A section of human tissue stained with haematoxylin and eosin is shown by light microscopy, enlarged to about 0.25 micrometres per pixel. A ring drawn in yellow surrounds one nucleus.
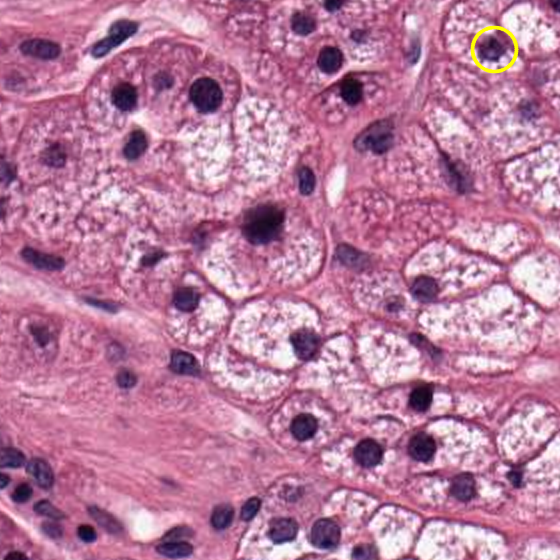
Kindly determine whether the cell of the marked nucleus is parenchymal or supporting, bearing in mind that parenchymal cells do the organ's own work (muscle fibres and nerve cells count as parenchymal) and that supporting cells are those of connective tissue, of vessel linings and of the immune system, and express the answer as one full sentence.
The marked nucleus is owned by a parenchymal cell, in this case an adrenal cortical cell.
